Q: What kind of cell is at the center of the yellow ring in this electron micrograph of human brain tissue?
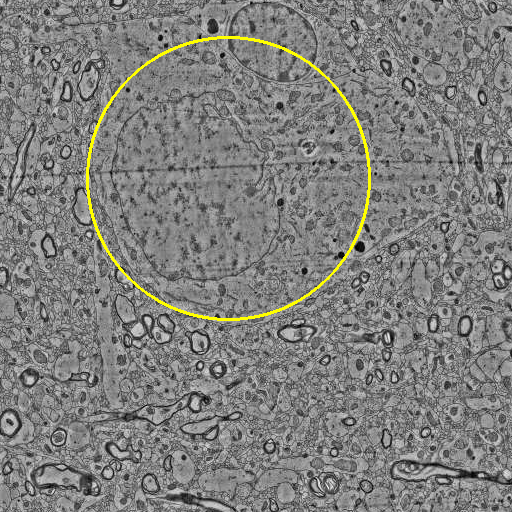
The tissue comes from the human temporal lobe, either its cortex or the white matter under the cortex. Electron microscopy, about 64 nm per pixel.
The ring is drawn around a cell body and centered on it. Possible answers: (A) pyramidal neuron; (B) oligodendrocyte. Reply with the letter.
A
